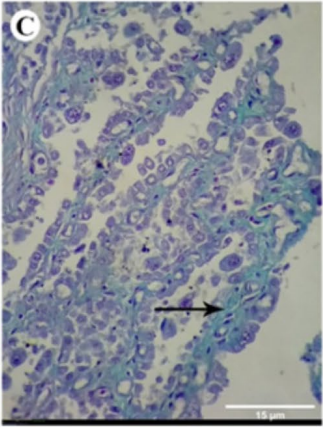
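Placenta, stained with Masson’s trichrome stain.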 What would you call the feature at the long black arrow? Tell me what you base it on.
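Collagenous fibres. The arrow points to blue-green stained strands running through the villous core.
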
